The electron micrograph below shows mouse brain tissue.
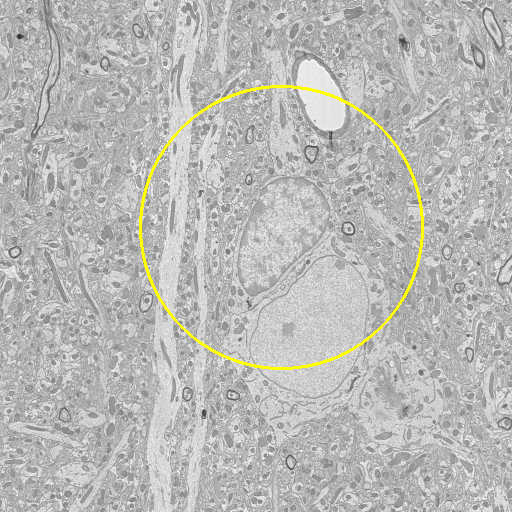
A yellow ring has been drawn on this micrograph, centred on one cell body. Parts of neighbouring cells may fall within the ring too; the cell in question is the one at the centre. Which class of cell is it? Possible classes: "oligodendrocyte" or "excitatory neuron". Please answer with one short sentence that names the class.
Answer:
In the centre of the ring sits an oligodendrocyte.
